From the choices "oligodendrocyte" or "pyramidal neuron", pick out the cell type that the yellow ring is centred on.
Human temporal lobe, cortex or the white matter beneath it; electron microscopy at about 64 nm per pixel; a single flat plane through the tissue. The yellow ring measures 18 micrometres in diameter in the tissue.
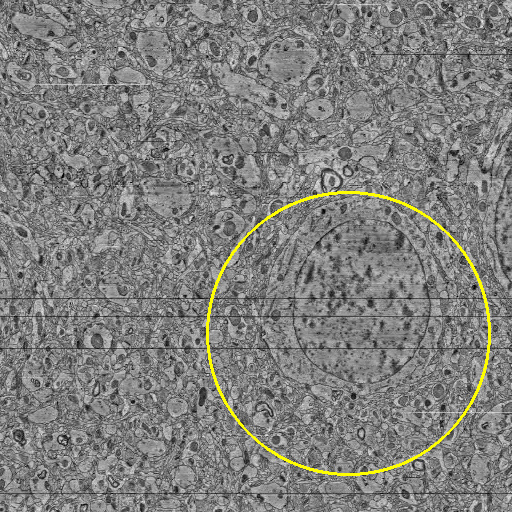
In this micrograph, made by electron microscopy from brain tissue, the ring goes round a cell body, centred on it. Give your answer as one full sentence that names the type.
The yellow ring is centred on a pyramidal neuron, whose cell body it encircles in the picture.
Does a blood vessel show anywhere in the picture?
No, none shows.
